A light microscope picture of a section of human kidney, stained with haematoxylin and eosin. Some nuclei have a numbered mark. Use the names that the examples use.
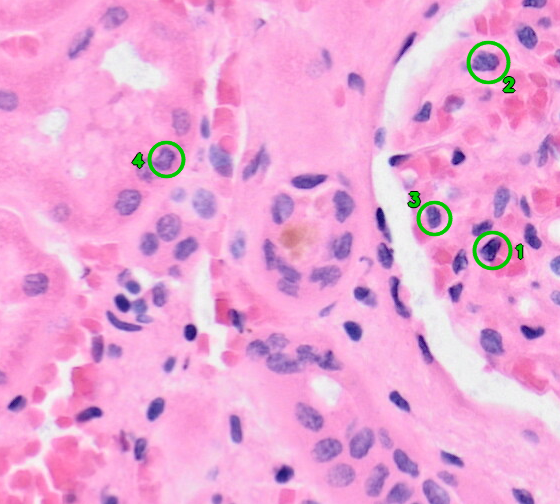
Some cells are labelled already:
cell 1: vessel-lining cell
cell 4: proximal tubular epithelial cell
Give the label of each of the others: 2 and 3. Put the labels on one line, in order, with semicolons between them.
vessel-lining cell; vessel-lining cell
